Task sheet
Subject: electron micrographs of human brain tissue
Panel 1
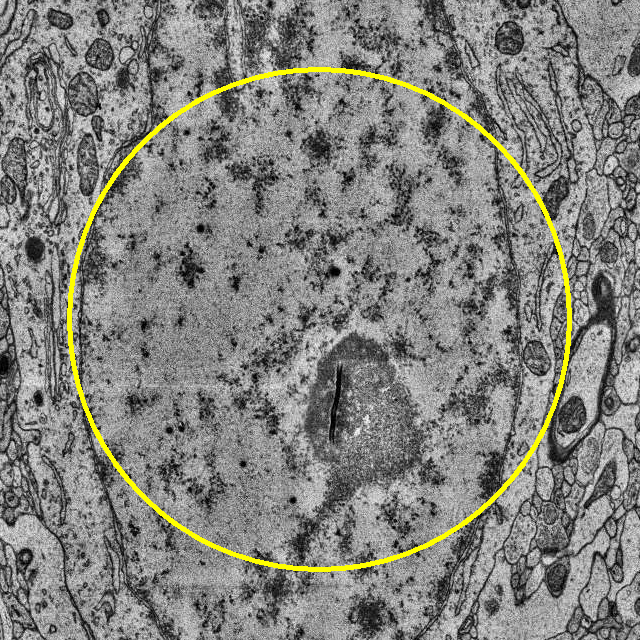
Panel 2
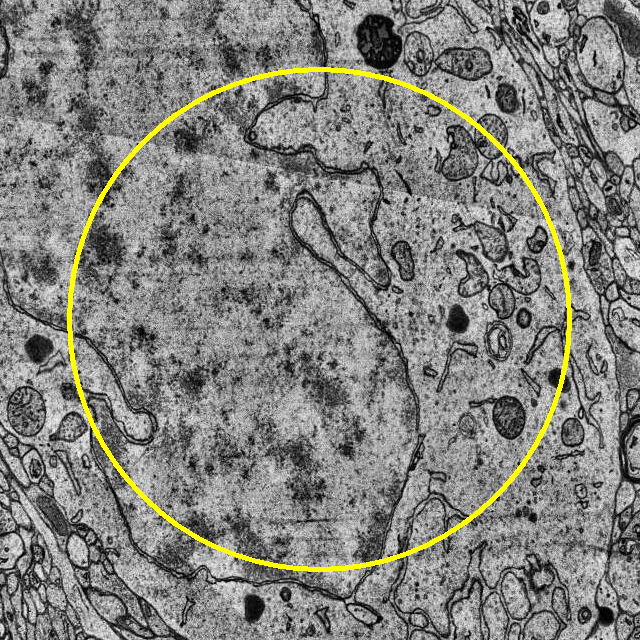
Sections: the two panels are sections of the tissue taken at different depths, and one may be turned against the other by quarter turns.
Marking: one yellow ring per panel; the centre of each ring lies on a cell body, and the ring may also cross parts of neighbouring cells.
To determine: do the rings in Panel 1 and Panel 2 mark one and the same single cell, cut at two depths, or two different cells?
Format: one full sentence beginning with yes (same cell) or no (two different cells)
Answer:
No, the two rings refer to two distinct cells.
